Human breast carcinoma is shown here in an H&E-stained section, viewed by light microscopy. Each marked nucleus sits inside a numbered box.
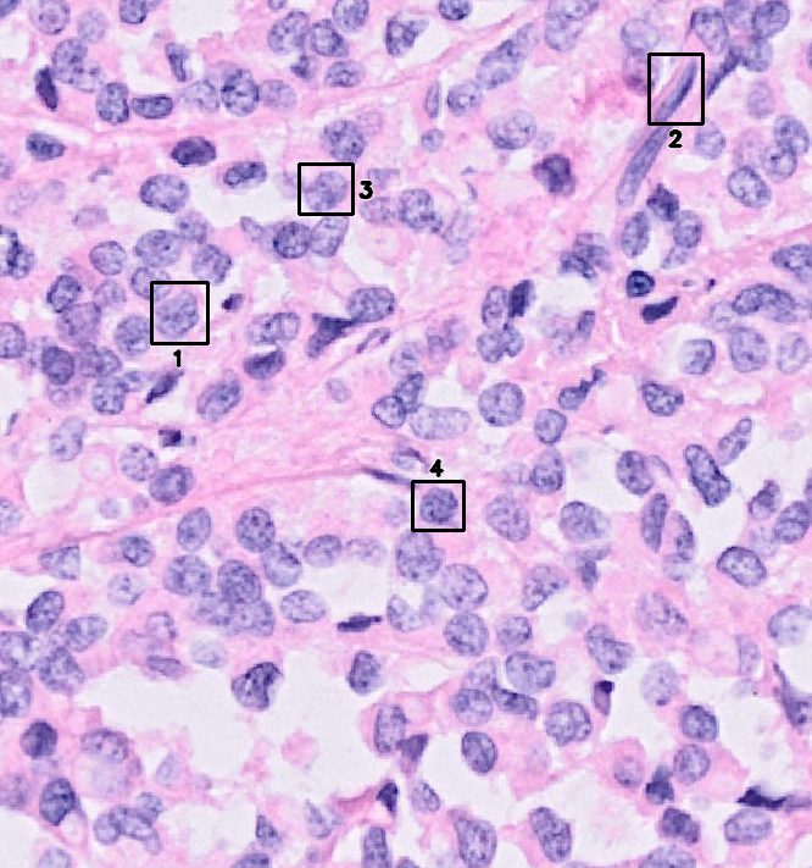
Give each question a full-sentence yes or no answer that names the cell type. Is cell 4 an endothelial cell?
No, at number 4 sits a carcinoma cell, not an endothelial cell.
